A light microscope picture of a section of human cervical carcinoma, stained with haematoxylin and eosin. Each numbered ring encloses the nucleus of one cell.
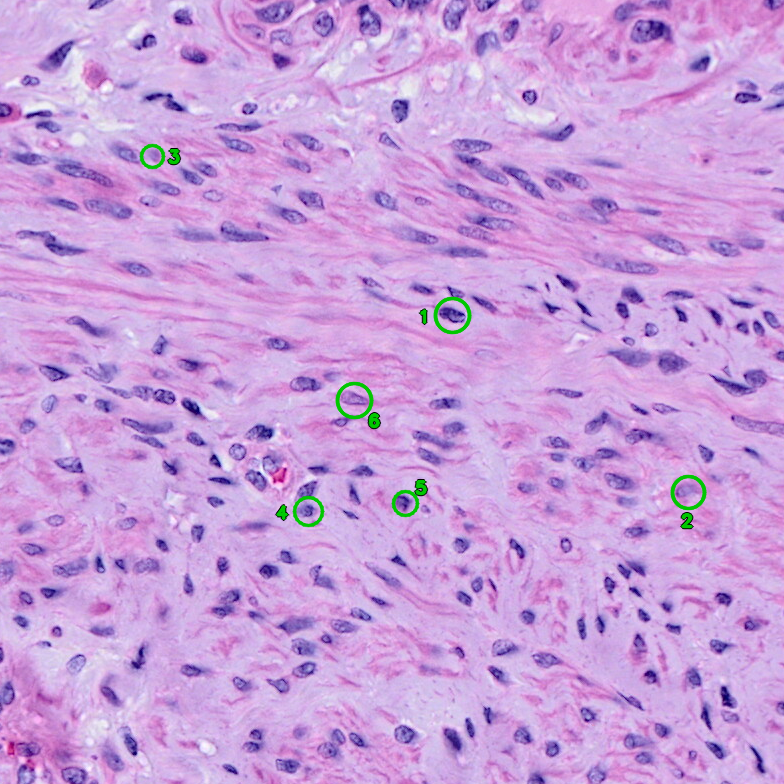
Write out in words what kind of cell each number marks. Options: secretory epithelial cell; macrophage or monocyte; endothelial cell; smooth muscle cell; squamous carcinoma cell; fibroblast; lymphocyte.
Cell 1 is a lymphocyte, cell 2 is a smooth muscle cell, cell 3 is a smooth muscle cell, cell 4 is a fibroblast, cell 5 is a smooth muscle cell and cell 6 is a smooth muscle cell.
